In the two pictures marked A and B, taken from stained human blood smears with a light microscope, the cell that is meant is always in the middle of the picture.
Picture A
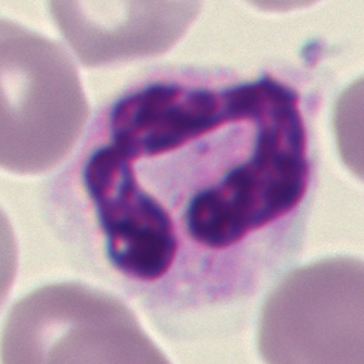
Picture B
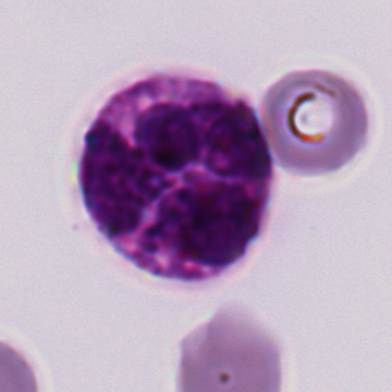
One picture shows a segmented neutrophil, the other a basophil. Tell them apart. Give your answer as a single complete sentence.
Picture A shows a segmented neutrophil and picture B shows a basophil.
